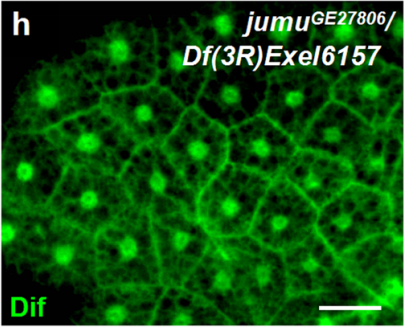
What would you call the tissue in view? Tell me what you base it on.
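A continuous sheet of large polygonal cells with bright outlines. Each cell holds a single round central nucleus. Nuclei are spaced regularly across the sheet. So: fat body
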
